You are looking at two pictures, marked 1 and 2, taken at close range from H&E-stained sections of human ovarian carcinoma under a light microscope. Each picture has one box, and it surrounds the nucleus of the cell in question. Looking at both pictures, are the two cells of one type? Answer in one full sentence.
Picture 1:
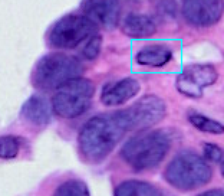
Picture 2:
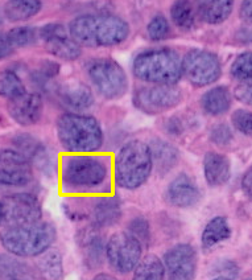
No, picture 1 shows a “macrophage or monocyte” and picture 2 shows a carcinoma cell.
